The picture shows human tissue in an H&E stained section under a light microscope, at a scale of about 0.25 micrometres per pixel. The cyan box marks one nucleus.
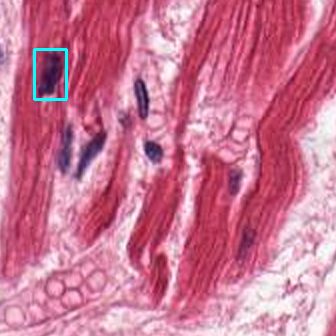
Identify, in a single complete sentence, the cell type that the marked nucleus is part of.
The cell to which the marked nucleus belongs is a cardiomyocyte.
